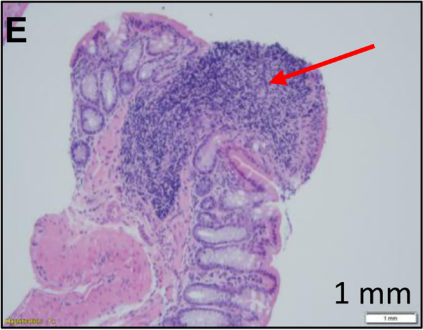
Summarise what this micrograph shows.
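Colonic mucosa with a large, dense, rounded lymphoid aggregate made of tightly packed small cells with dark round nuclei and scant cytoplasm. The aggregate lies beside crypts lined by columnar epithelium with pale goblet cells, and a band of pink muscle tissue runs along the left side.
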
